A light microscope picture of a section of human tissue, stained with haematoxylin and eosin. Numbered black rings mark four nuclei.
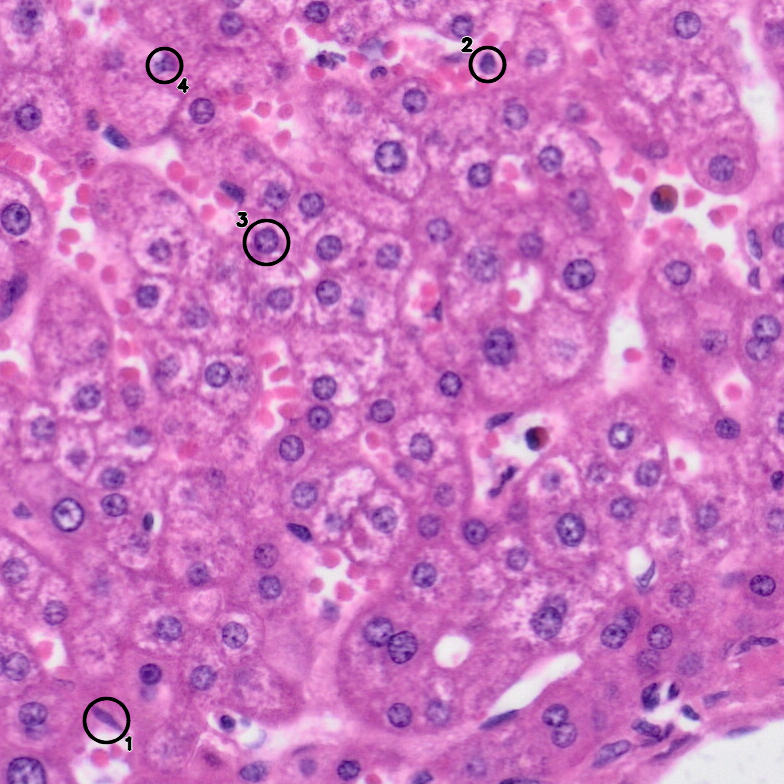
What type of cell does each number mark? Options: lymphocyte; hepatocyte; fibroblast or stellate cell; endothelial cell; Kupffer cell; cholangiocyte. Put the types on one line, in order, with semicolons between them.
fibroblast or stellate cell; lymphocyte; hepatocyte; endothelial cell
